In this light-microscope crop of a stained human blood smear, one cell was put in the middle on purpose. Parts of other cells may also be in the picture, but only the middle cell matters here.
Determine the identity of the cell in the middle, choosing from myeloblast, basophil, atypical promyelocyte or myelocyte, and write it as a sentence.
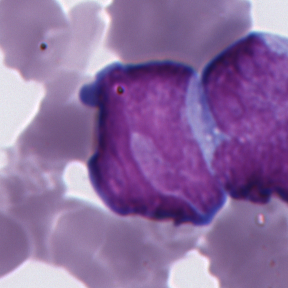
Within this crop, a myeloblast occupies the central position.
